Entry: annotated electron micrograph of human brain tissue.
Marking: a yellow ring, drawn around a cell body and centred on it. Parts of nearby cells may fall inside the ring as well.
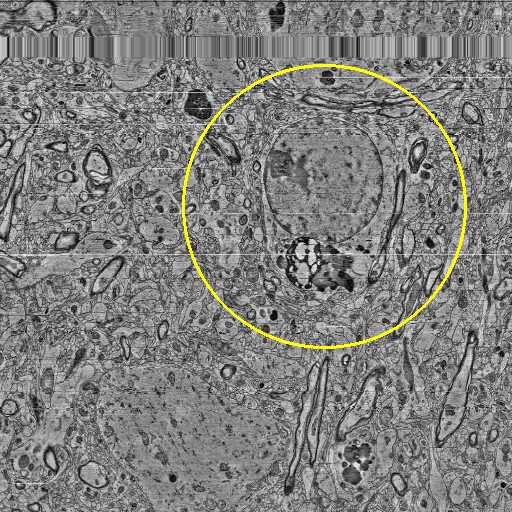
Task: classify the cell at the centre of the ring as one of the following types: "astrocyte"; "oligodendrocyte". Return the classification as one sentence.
The marked cell is classified as an astrocyte.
